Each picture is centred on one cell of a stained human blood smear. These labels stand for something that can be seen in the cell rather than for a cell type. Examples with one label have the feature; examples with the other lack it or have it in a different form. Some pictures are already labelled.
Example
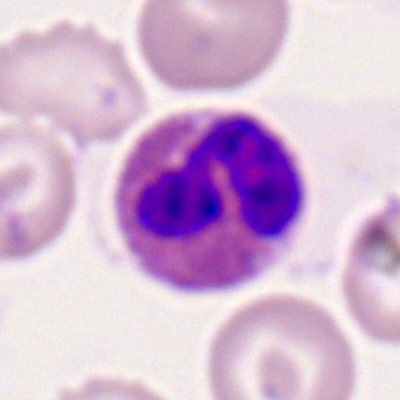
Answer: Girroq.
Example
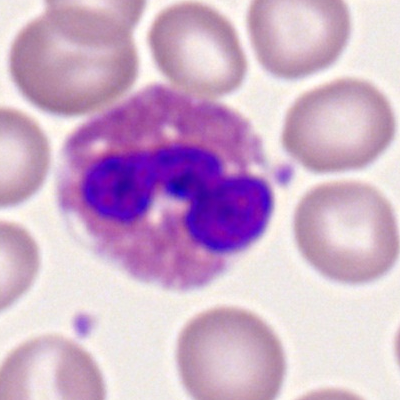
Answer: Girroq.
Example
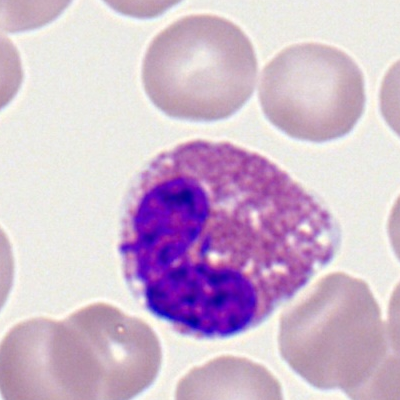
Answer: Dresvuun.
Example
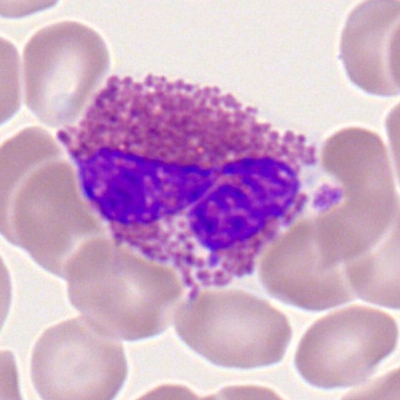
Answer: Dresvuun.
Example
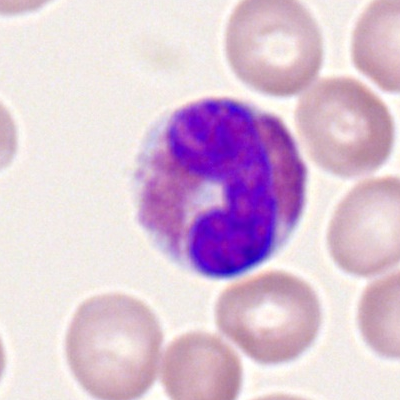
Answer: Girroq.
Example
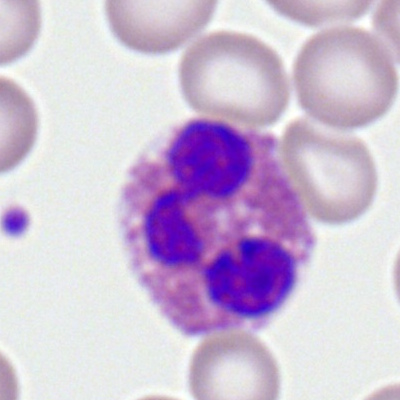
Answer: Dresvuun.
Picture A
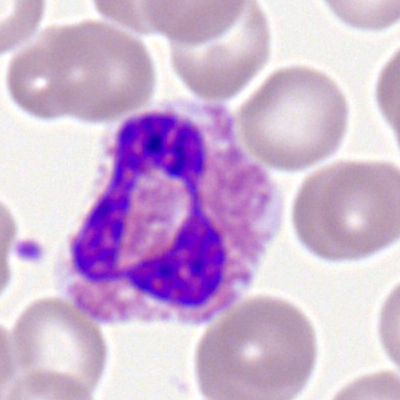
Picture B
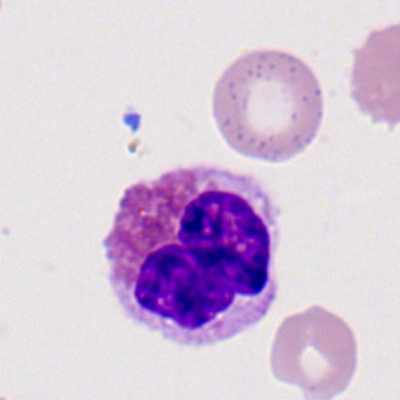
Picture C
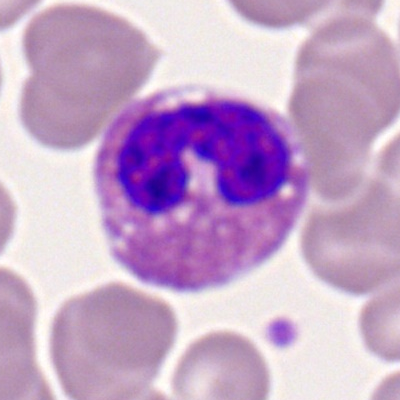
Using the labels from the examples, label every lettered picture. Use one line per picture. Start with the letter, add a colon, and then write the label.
A: Girroq.
B: Girroq.
C: Girroq.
